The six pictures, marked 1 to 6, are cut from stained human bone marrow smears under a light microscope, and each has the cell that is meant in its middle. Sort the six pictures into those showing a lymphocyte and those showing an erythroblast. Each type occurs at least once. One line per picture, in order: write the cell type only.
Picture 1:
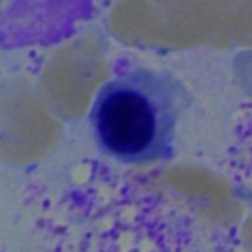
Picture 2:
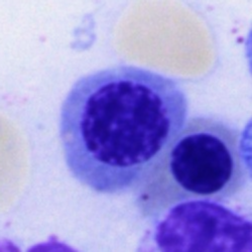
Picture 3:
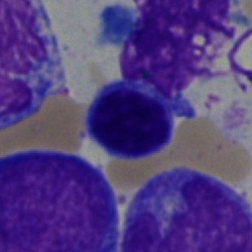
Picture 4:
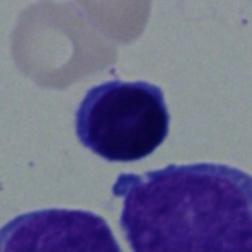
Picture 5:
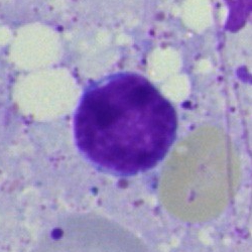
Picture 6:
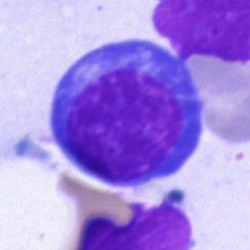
erythroblast
erythroblast
lymphocyte
lymphocyte
lymphocyte
erythroblast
